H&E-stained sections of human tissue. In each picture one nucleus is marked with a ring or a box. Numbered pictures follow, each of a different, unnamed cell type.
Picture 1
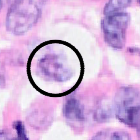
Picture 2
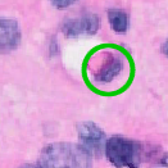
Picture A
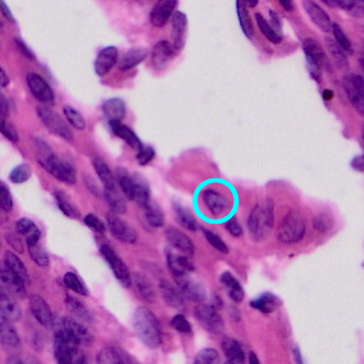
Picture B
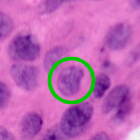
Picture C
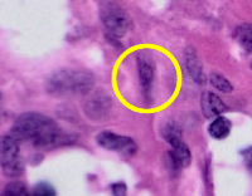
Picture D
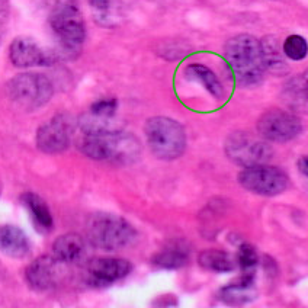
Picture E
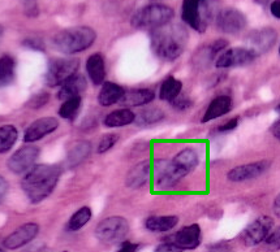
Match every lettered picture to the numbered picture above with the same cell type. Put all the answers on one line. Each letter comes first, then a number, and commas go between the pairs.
A 2, B 1, C 2, D 2, E 2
